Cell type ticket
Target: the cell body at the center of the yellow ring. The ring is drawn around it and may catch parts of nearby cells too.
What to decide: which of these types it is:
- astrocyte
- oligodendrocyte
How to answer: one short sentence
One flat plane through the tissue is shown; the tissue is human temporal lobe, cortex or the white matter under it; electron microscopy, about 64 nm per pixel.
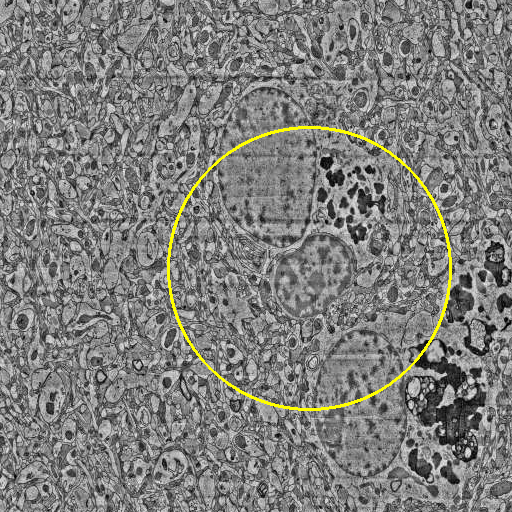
The cell at the center of the ring is an oligodendrocyte.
